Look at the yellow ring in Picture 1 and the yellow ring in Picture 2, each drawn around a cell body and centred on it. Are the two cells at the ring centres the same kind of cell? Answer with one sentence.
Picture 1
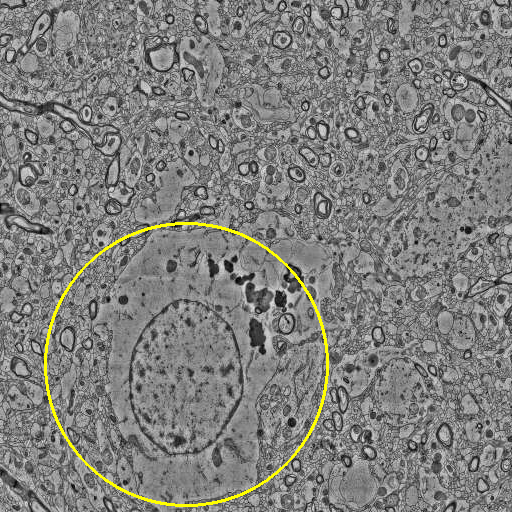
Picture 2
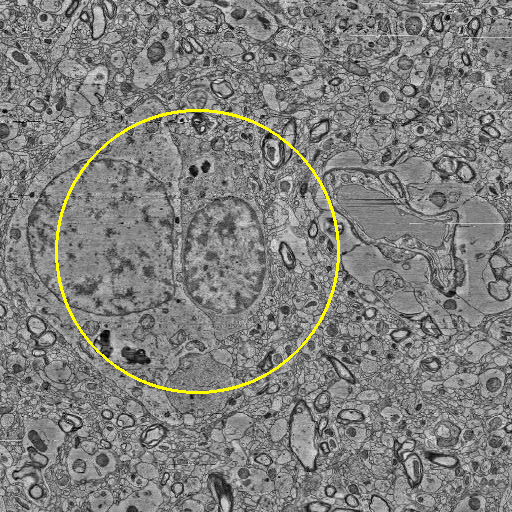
No, they are cells of two kinds.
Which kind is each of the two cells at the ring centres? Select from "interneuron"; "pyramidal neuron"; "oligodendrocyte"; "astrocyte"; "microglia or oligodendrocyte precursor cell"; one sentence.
The cell at the centre of the ring is an astrocyte in the first picture and an oligodendrocyte in the second.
